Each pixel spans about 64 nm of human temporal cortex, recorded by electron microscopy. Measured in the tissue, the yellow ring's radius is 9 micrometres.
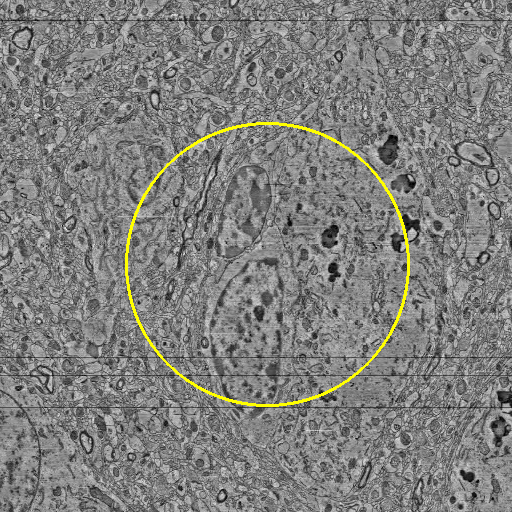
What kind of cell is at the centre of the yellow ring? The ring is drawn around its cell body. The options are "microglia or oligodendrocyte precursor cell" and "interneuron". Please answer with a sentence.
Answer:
The yellow ring marks the cell body of a microglial cell or oligodendrocyte precursor cell.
